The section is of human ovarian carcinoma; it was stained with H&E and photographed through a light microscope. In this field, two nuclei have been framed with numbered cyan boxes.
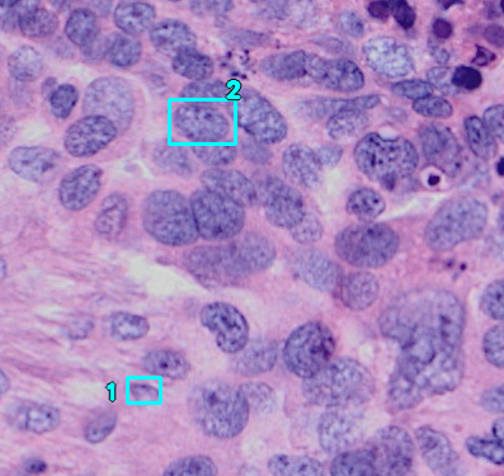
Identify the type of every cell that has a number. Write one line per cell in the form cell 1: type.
cell 1: fibroblast
cell 2: carcinoma cell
